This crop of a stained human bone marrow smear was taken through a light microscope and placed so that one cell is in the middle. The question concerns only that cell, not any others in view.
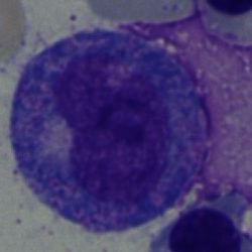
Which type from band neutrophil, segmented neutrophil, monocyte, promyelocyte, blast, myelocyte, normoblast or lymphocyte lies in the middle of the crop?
promyelocyte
